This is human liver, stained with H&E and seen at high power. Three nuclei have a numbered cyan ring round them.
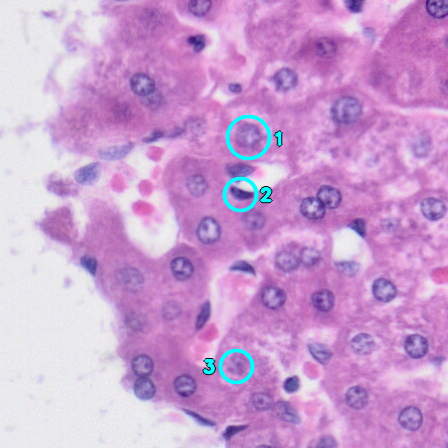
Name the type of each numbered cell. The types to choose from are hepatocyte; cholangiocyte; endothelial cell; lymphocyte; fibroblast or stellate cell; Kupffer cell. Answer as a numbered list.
1. hepatocyte
2. fibroblast or stellate cell
3. hepatocyte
